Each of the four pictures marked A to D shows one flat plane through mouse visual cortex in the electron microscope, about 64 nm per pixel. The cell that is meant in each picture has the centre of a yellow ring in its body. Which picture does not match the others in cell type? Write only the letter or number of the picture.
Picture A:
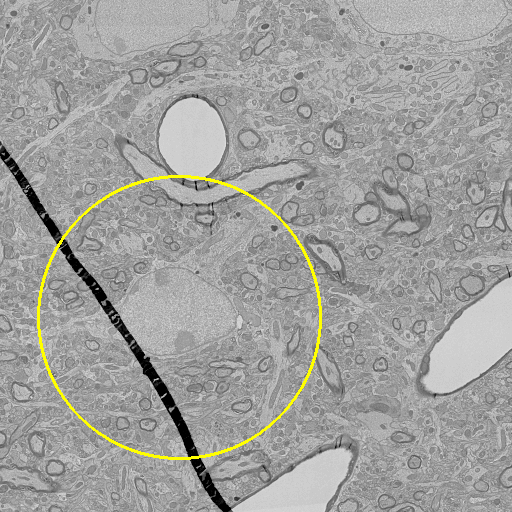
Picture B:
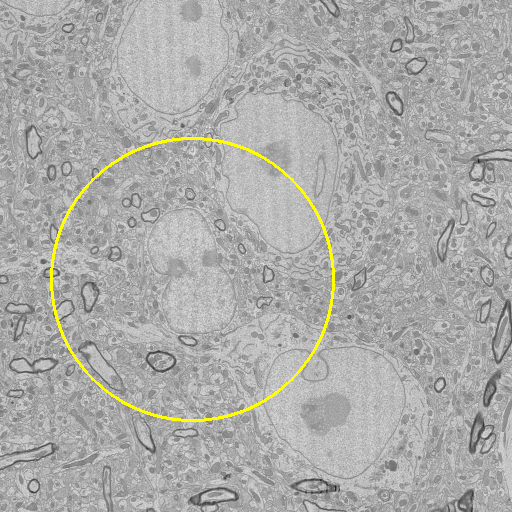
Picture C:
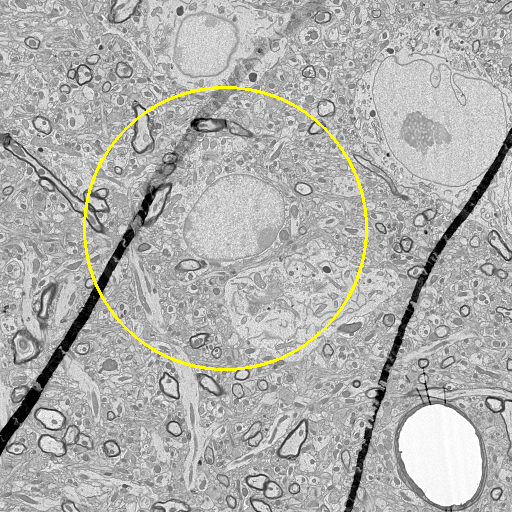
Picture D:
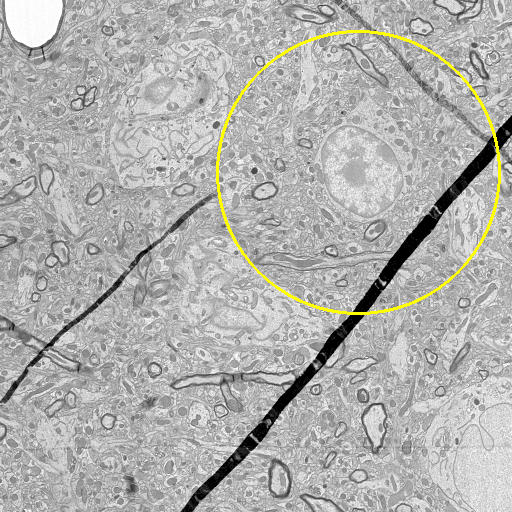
D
